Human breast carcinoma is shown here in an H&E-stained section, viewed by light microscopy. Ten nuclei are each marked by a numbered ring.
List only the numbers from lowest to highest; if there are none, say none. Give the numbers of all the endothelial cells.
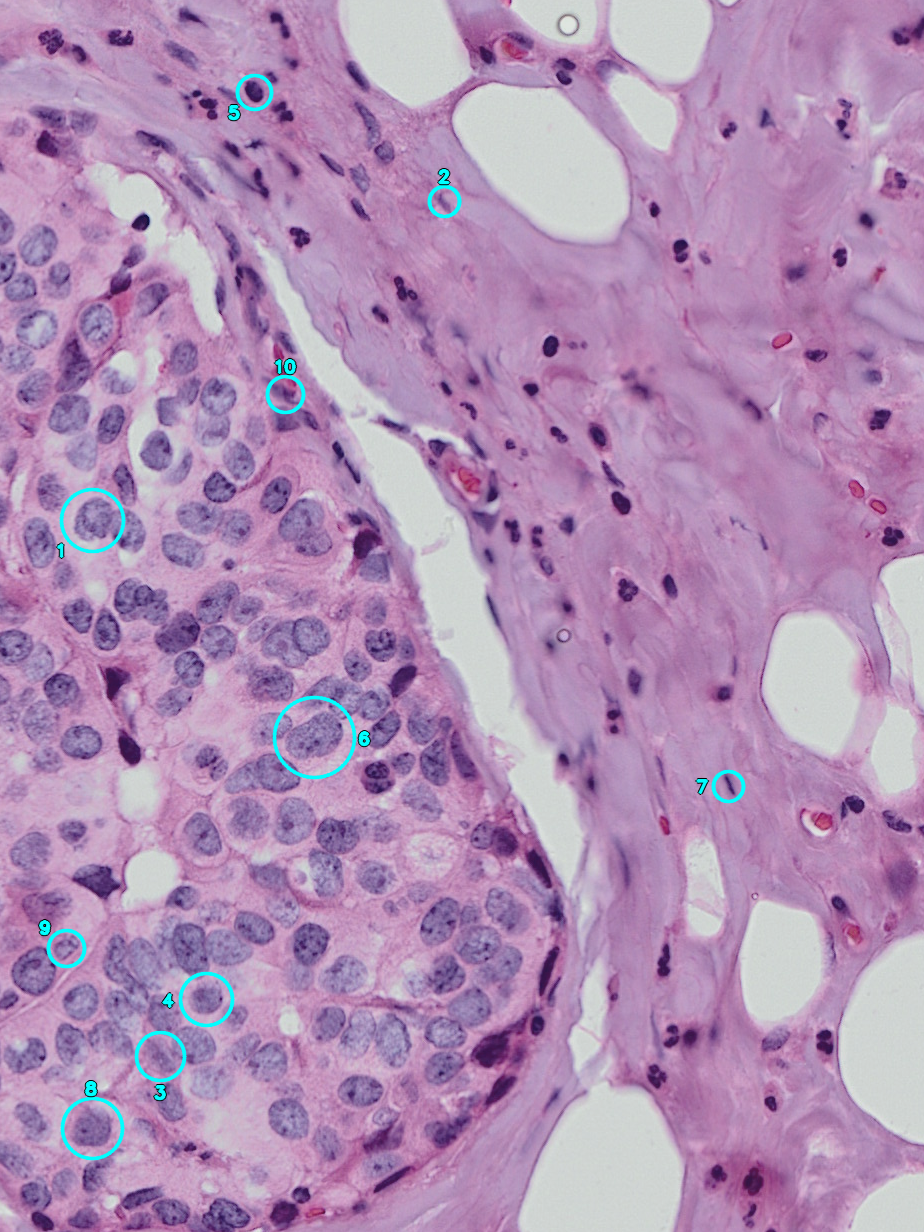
10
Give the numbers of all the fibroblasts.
2, 7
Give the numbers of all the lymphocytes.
5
